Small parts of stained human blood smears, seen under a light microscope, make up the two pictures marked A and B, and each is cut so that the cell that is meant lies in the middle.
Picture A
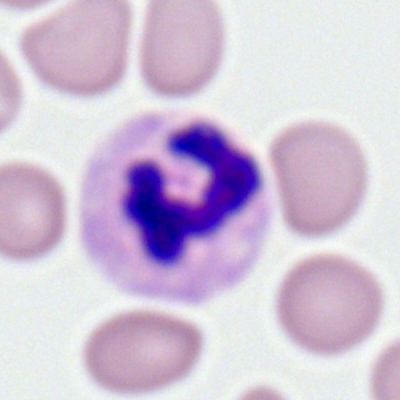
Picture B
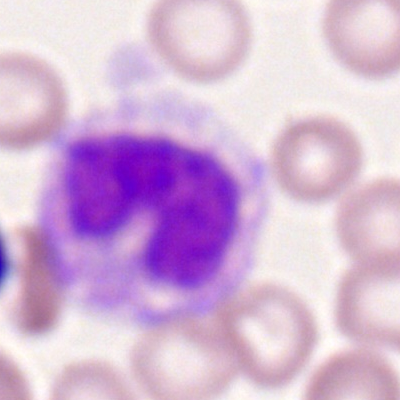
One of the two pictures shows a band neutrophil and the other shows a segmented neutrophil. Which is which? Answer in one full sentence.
It is picture A that shows a segmented neutrophil, and picture B that shows a band neutrophil.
